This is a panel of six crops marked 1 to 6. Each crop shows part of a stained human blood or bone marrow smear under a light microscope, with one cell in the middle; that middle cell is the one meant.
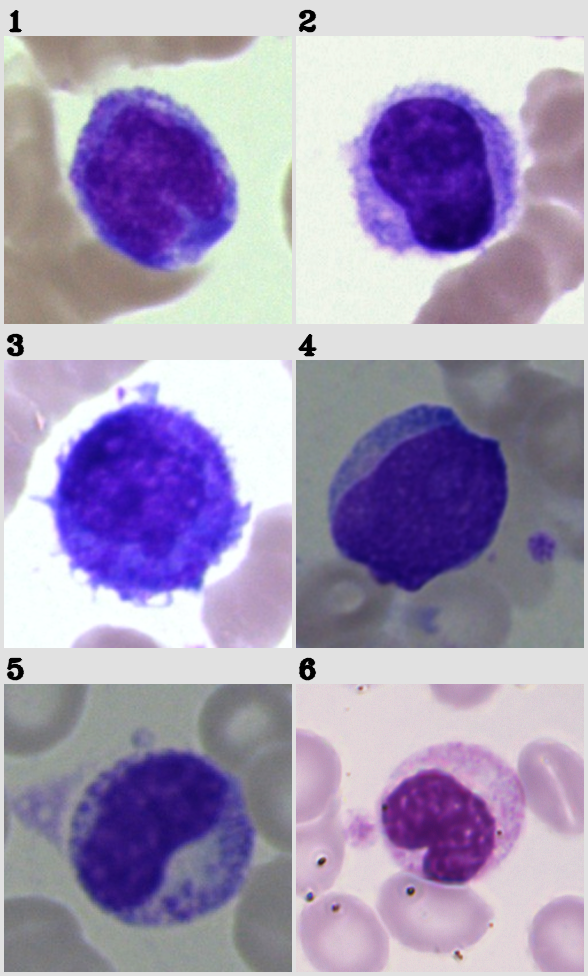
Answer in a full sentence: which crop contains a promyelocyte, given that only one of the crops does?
Of these crops, it is crop 3 that shows a promyelocyte.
